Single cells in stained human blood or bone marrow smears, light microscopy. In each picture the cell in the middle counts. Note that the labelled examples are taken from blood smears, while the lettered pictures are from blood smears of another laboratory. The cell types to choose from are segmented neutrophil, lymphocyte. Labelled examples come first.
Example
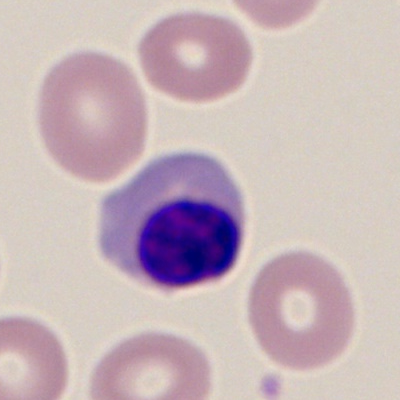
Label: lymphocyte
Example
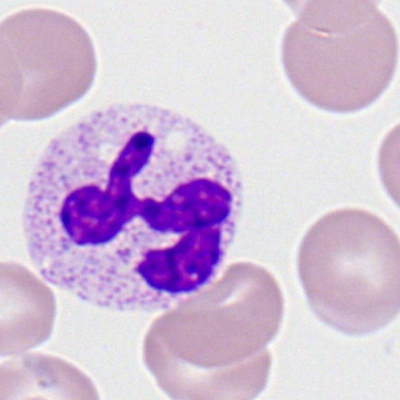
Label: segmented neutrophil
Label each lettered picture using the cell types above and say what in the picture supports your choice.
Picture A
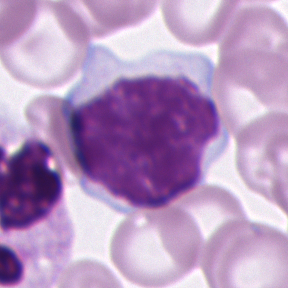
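lymphocyte. Evidence: The nucleus fills most of the cell.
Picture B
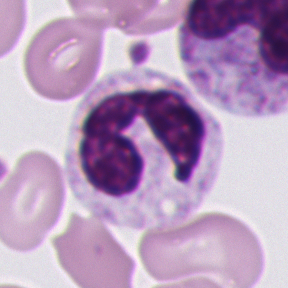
segmented neutrophil. Evidence: The nucleus is bent into a curved horseshoe shape that opens toward the bottom.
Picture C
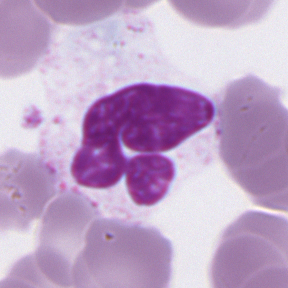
segmented neutrophil. Evidence: The nucleus is divided into three lobes.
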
